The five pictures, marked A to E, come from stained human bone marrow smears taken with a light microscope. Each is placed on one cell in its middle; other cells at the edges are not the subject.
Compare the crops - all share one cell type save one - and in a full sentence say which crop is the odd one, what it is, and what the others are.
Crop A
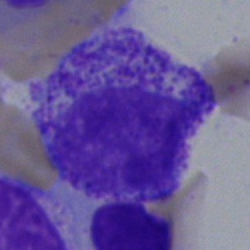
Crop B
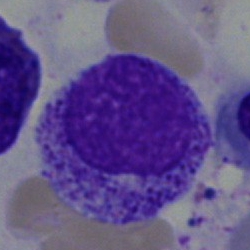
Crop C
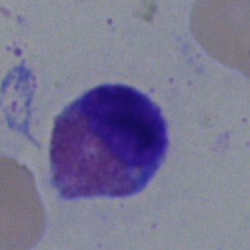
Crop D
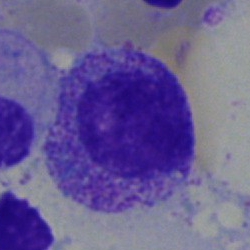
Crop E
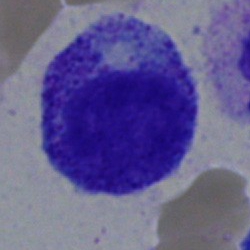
Crop C is the outlier, with an eosinophil against myelocytes in the rest.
